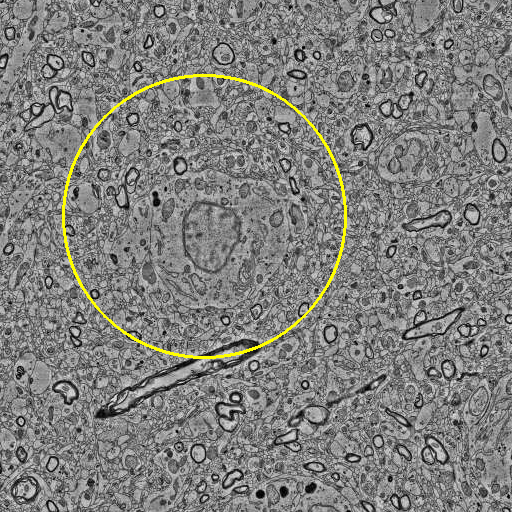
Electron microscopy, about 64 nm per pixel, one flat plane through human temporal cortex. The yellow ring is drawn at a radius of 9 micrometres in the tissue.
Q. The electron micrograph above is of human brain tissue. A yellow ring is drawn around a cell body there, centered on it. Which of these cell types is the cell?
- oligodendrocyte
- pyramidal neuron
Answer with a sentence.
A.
The cell under the ring's center is a pyramidal neuron.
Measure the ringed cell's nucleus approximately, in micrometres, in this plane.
In this plane the nucleus measures roughly 5 by 4 micrometres.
